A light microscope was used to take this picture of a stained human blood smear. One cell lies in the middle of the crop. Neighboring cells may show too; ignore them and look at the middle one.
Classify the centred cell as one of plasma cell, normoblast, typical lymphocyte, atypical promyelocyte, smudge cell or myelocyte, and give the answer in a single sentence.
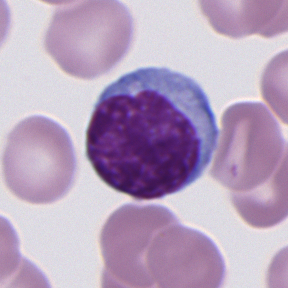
The cell around which this crop is centred is a typical lymphocyte.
